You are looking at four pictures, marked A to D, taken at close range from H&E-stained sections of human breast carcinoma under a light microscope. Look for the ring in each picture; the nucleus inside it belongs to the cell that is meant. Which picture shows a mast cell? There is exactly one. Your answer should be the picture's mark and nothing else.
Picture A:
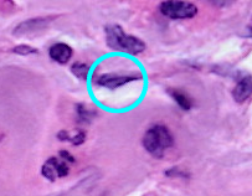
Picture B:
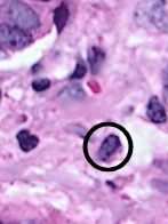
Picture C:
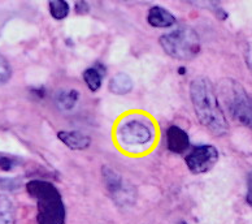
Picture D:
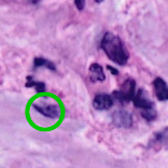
B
